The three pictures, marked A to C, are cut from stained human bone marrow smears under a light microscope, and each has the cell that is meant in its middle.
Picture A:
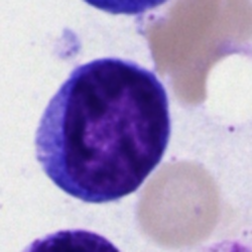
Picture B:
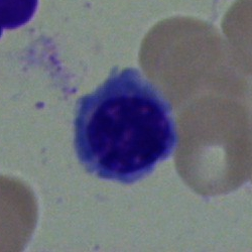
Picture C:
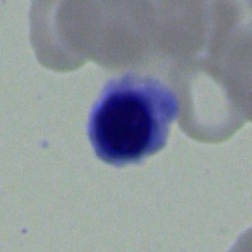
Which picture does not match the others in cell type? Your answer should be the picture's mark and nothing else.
A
